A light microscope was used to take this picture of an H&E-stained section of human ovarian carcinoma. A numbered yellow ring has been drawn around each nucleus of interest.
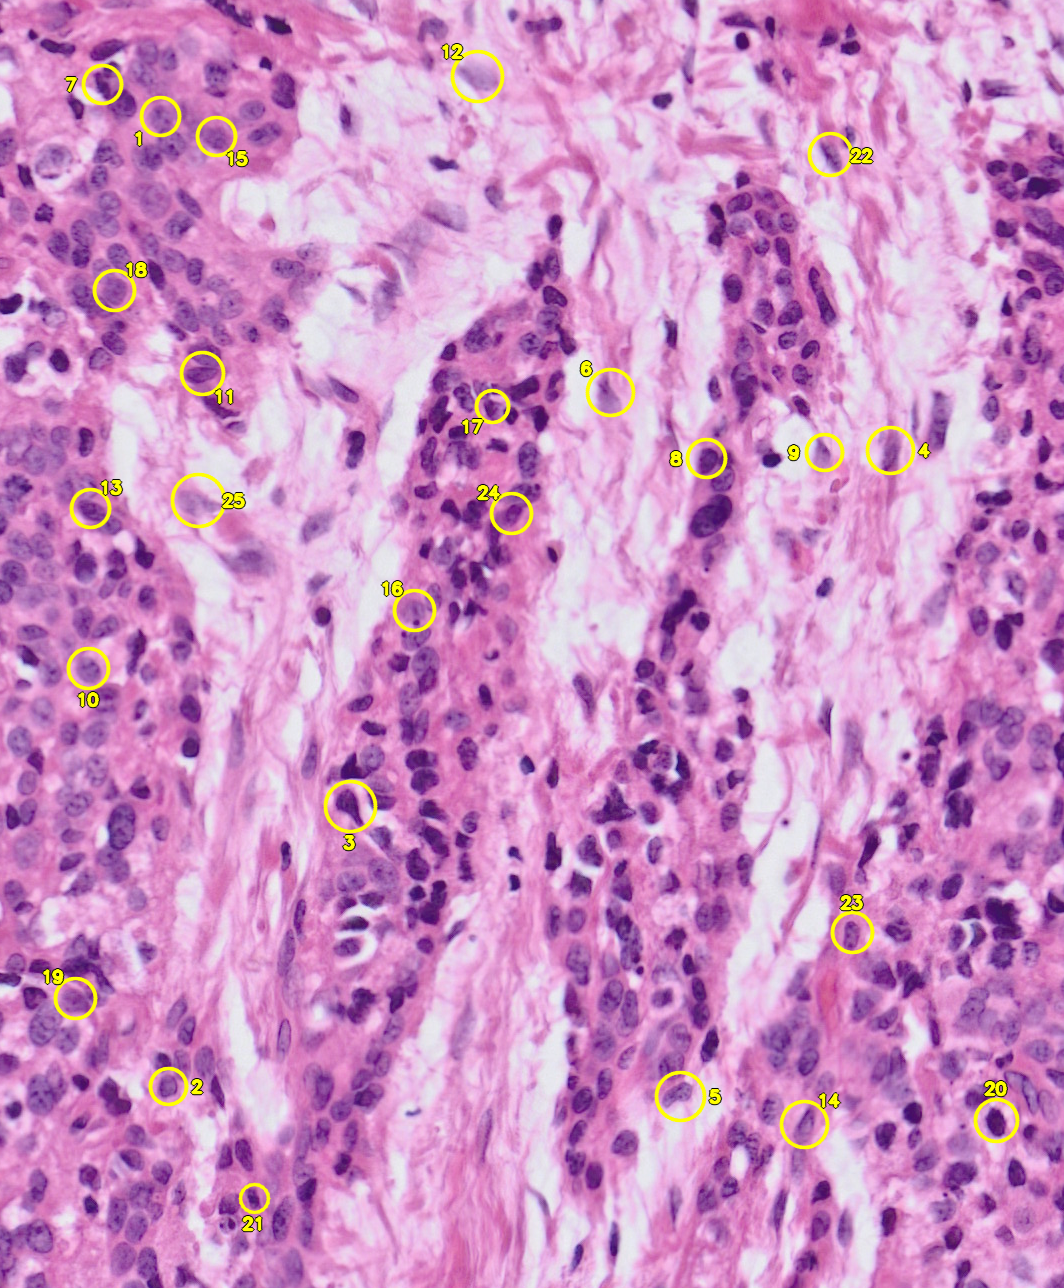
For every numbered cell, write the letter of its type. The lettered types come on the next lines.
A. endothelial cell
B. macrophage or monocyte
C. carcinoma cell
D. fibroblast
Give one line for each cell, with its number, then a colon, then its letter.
1: C
2: B
3: C
4: D
5: B
6: D
7: C
8: C
9: D
10: B
11: C
12: D
13: C
14: A
15: C
16: B
17: C
18: C
19: C
20: C
21: A
22: D
23: B
24: C
25: D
